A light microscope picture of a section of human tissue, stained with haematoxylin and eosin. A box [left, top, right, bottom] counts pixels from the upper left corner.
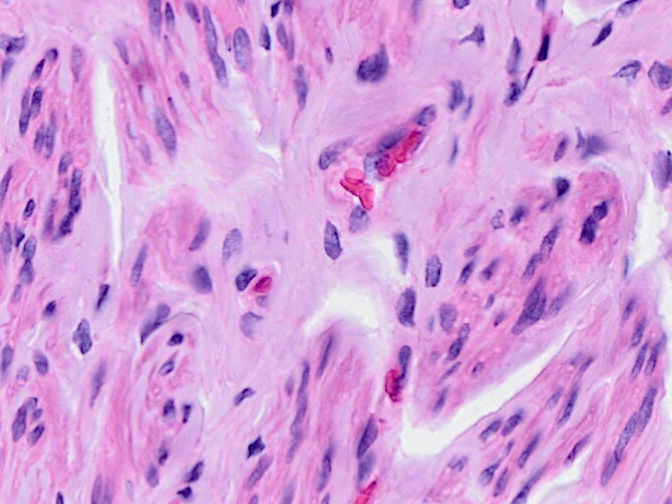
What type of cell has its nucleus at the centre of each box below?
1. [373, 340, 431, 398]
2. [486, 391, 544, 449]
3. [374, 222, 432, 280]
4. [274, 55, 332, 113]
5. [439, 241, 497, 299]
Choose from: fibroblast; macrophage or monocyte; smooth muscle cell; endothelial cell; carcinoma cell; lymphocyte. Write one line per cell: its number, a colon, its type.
1: endothelial cell
2: smooth muscle cell
3: fibroblast
4: smooth muscle cell
5: smooth muscle cell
